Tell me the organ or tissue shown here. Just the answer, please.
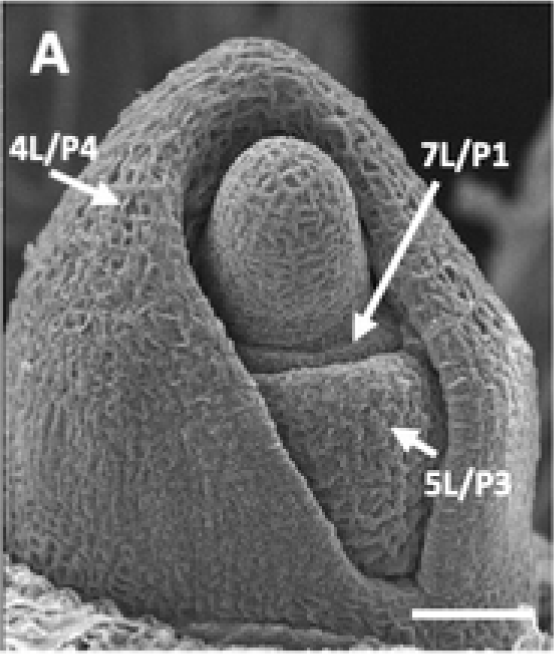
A: Shoot apex.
